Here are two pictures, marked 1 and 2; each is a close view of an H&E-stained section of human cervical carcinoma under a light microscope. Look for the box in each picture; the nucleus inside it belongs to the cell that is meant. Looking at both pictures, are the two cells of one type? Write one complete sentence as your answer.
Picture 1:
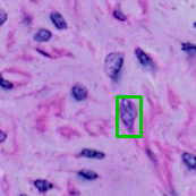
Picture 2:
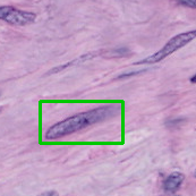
Yes, the two pictures both show smooth muscle cells.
